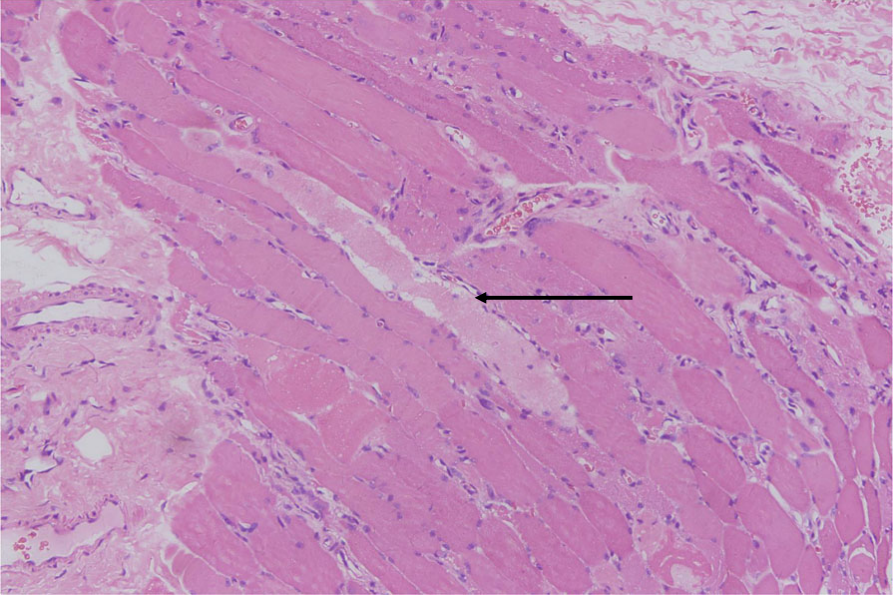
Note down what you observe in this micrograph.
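Skeletal muscle fibers run obliquely across the field as long, eosin-pink bands, with some cut more transversely toward the lower right. Most fibers have homogeneous pink cytoplasm and small, flattened, dark purple nuclei at their edges. One fiber in the middle is pale and granular, with clear gaps in its cytoplasm, unlike the intact fibers beside it. Between the fibers lies connective tissue with scattered spindle-shaped and round nuclei and small vessels holding red blood cells.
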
